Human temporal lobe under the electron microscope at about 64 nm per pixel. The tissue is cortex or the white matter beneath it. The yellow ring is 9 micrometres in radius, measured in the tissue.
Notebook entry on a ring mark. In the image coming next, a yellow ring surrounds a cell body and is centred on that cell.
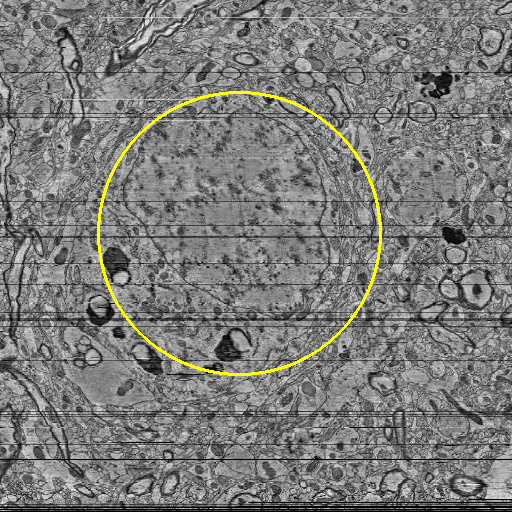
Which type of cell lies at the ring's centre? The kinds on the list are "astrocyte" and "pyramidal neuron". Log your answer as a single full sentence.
Centred in the yellow ring is a pyramidal neuron, the cell recorded for this image.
